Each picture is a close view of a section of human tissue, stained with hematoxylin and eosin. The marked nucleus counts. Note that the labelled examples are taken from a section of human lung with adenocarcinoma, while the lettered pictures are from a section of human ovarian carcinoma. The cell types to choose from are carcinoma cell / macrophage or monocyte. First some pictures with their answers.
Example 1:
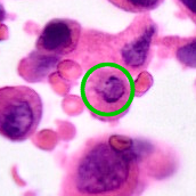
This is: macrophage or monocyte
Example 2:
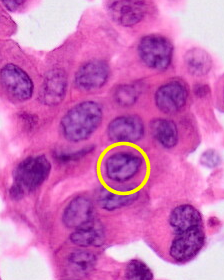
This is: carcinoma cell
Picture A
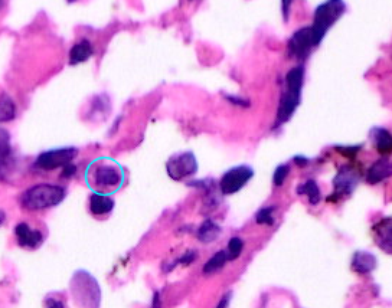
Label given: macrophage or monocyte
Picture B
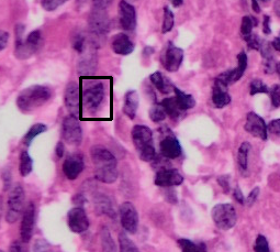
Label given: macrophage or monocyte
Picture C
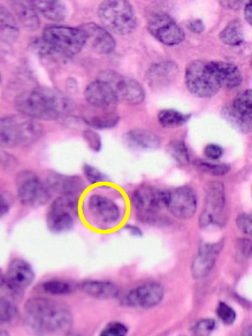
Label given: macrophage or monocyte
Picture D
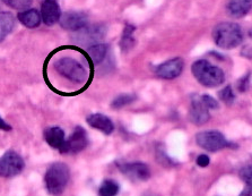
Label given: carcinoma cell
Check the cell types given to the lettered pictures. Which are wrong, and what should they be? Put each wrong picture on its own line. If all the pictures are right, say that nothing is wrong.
Nothing to fix; every label fits.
